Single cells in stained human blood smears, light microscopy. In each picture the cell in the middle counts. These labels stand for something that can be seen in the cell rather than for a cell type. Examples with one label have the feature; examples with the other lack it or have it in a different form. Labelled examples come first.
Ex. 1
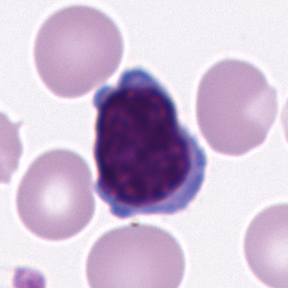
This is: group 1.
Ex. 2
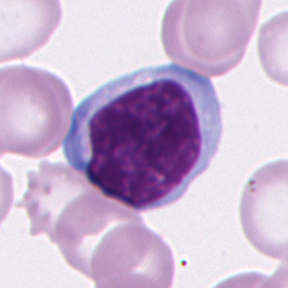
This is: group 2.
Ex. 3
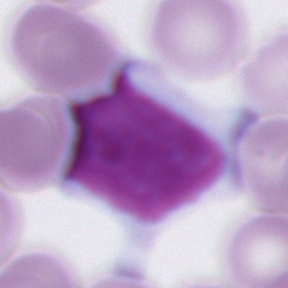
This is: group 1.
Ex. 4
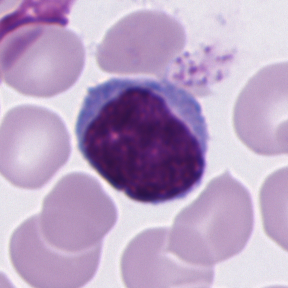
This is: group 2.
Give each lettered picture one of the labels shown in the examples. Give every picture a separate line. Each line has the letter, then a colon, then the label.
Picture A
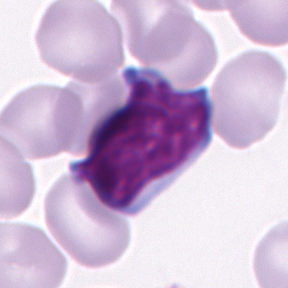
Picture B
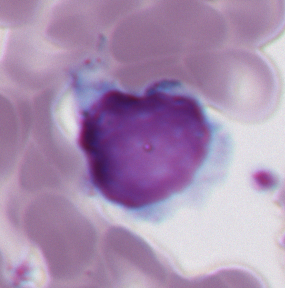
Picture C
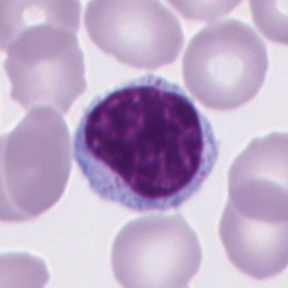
A: group 1.
B: group 1.
C: group 1.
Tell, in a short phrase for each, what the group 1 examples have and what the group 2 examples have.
group 1: ragged outline or projections; group 2: smooth outline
